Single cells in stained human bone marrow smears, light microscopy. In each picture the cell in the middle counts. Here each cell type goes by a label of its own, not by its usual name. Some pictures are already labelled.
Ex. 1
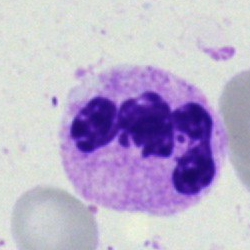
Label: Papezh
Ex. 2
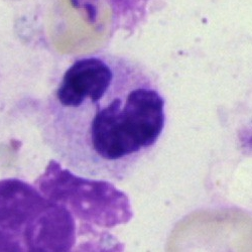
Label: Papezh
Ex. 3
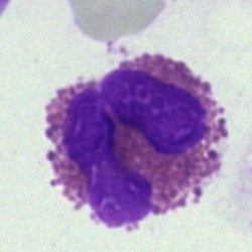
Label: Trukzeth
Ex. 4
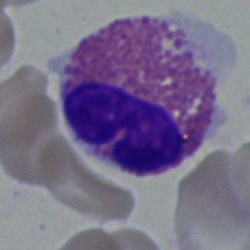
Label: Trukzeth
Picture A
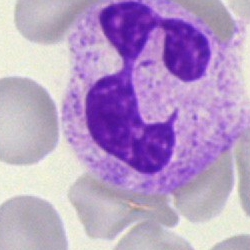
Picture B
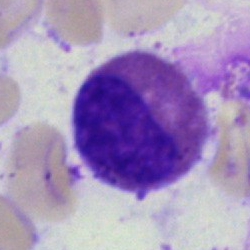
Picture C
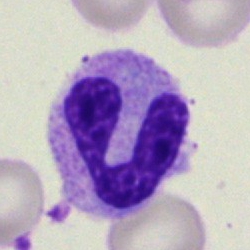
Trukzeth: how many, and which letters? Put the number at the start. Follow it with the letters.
1: B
